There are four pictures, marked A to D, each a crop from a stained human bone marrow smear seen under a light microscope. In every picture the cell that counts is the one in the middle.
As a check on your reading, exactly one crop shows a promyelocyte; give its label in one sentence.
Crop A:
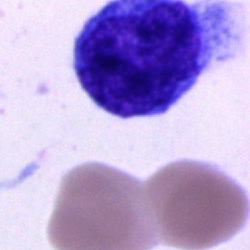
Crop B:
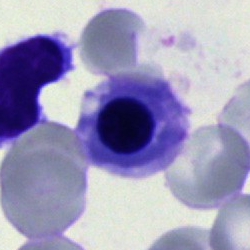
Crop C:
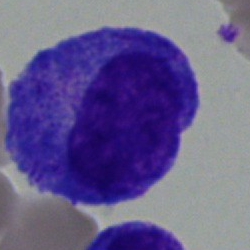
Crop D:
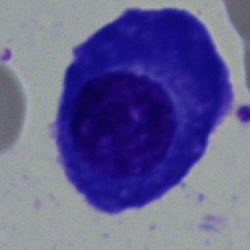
Of these crops, it is crop C that shows a promyelocyte.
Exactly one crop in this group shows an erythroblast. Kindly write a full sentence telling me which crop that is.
Of these crops, it is crop B that shows an erythroblast.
